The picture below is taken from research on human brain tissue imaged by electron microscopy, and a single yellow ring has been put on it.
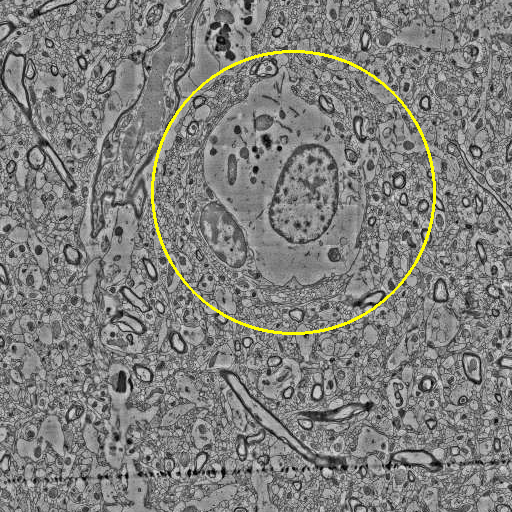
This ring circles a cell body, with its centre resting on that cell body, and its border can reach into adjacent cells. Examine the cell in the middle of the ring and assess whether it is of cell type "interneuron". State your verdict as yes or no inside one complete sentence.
No, in the picture, the cell lying at the centre of the ring is of a different type.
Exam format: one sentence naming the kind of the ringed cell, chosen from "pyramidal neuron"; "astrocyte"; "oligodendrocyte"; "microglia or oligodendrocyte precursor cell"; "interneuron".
Instead, the cell at the centre of the ring is an astrocyte.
